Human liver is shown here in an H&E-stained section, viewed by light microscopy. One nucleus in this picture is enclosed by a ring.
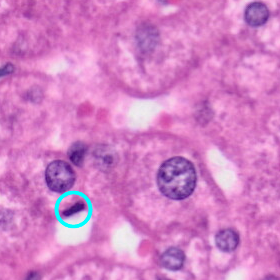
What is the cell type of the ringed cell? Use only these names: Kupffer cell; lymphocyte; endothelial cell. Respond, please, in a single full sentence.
By cell type, the ringed cell is an endothelial cell.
